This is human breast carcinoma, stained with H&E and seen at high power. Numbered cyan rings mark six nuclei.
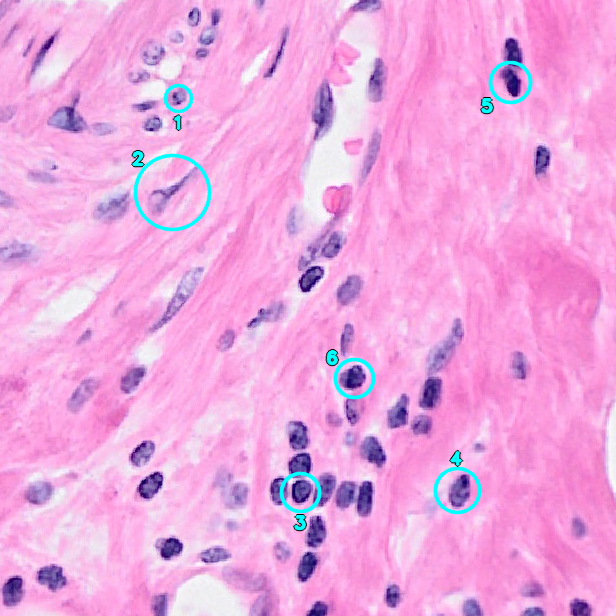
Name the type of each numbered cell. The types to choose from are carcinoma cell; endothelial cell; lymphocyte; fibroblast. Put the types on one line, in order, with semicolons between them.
endothelial cell; fibroblast; lymphocyte; lymphocyte; lymphocyte; lymphocyte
